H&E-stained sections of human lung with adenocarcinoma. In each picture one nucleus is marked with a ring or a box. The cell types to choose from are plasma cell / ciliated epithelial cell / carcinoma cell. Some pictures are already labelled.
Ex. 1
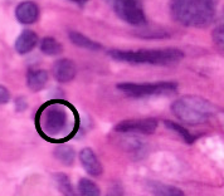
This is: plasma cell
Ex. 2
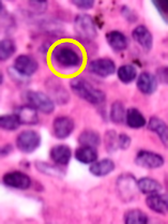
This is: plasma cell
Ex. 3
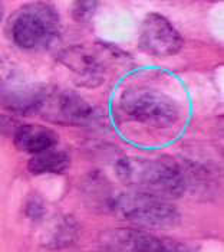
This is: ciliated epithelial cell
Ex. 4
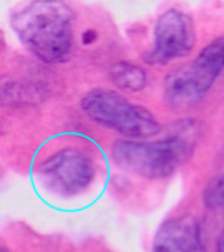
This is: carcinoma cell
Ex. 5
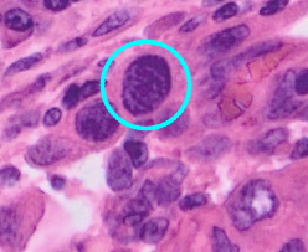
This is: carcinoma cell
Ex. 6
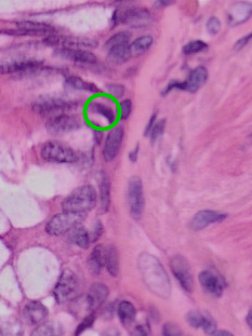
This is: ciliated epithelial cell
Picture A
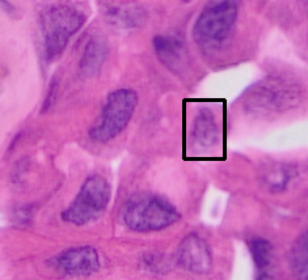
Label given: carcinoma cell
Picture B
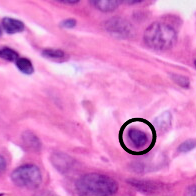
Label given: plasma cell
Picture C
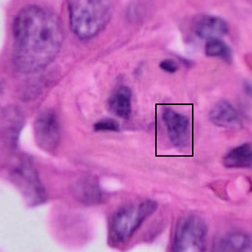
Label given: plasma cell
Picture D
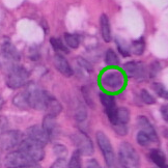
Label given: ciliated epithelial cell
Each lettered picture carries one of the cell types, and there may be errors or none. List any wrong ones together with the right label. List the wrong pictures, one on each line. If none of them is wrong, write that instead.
All labels are correct.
